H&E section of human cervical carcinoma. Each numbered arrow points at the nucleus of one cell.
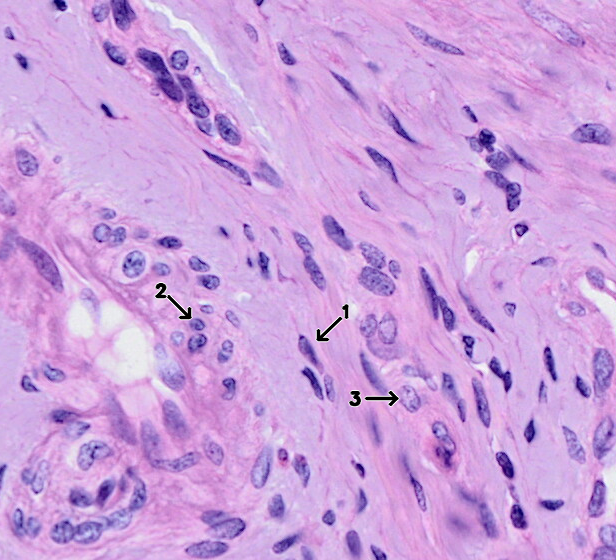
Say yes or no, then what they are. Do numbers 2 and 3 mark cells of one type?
No, cell 2 is to be identified as a smooth muscle cell and cell 3 as an endothelial cell.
